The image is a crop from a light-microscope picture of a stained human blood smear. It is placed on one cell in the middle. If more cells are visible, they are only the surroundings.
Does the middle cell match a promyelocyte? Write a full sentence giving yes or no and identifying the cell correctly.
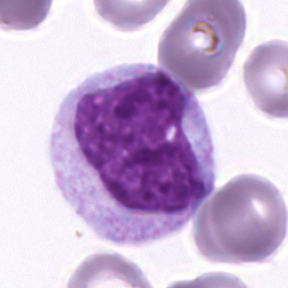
No, the central cell is reported as a myelocyte rather than as a promyelocyte.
